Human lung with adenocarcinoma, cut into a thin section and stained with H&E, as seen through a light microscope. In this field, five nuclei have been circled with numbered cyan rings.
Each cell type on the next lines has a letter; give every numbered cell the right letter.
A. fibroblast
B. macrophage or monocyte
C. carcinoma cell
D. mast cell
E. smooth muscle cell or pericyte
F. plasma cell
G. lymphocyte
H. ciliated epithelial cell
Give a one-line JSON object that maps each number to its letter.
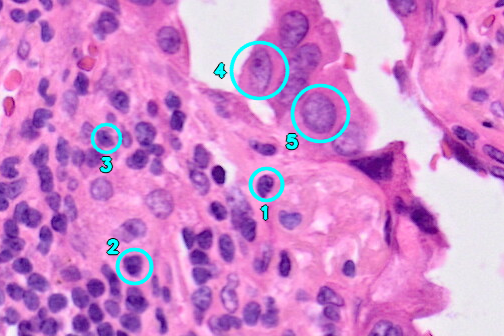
{"1": "G", "2": "G", "3": "G", "4": "C", "5": "C"}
